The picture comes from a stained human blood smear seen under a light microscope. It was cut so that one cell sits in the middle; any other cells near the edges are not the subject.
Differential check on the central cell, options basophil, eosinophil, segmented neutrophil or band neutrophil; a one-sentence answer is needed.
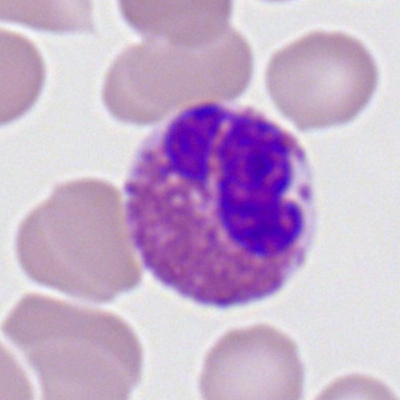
Positioned in the middle of the crop is an eosinophil.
